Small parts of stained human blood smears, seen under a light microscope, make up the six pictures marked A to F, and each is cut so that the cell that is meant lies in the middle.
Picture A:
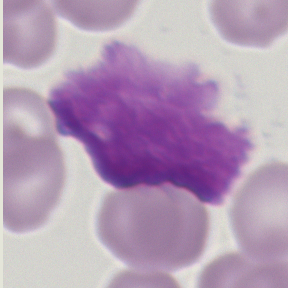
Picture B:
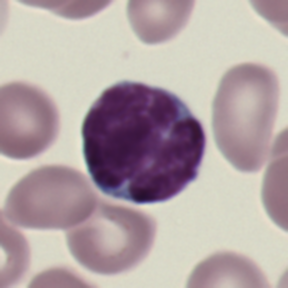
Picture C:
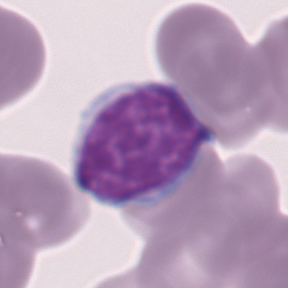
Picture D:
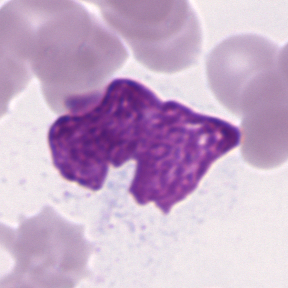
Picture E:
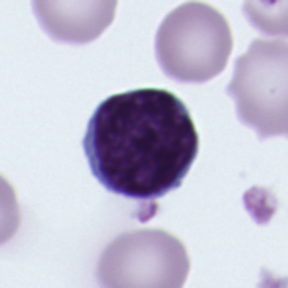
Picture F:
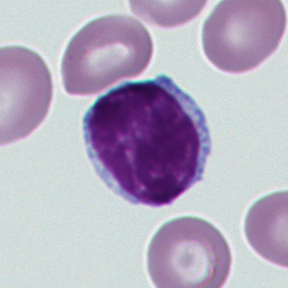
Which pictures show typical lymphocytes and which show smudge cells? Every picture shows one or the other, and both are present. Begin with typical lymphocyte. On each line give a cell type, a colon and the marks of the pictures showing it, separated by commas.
typical lymphocyte: B, C, E, F
smudge cell: A, D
